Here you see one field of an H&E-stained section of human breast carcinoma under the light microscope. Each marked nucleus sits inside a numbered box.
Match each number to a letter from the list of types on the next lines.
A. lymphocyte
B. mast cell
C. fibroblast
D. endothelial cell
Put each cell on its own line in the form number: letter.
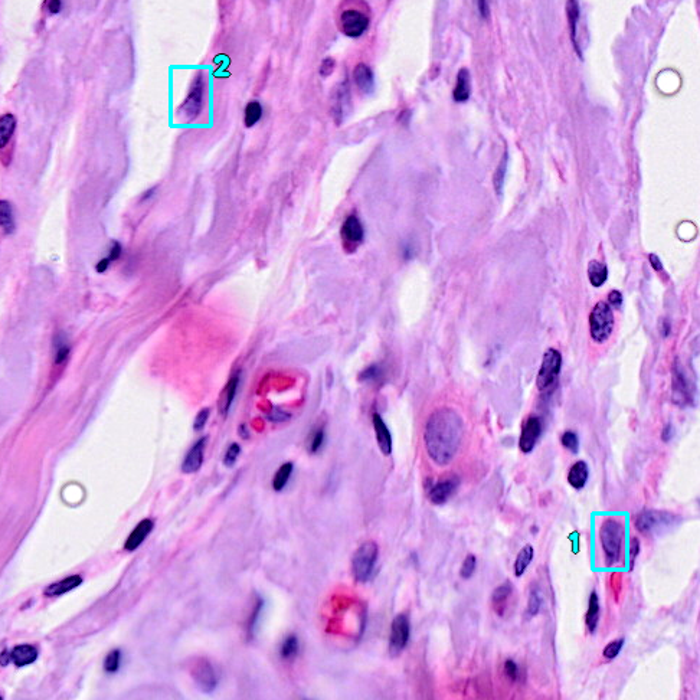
1: D
2: C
